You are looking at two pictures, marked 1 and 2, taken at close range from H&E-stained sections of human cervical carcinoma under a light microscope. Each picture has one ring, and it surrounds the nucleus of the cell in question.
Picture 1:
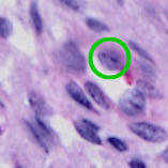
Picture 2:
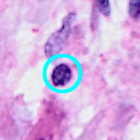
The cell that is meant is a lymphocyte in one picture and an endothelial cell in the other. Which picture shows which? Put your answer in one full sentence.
It is picture 1 that shows an endothelial cell, and picture 2 that shows a lymphocyte.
